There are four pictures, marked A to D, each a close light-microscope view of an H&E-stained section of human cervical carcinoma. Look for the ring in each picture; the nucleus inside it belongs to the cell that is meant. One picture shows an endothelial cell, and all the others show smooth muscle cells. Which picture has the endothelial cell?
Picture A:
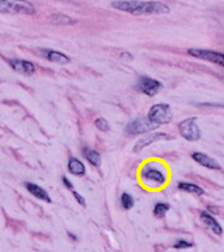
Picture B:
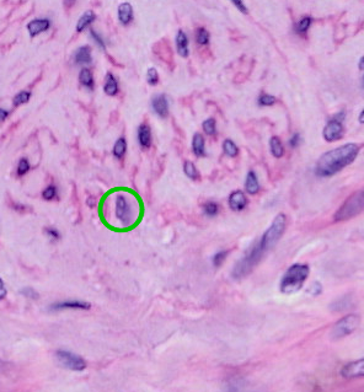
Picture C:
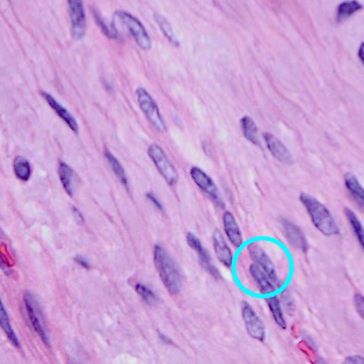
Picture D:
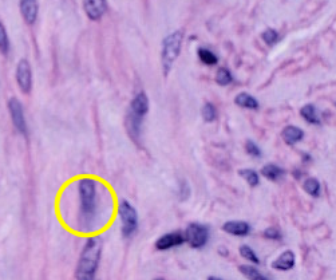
C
